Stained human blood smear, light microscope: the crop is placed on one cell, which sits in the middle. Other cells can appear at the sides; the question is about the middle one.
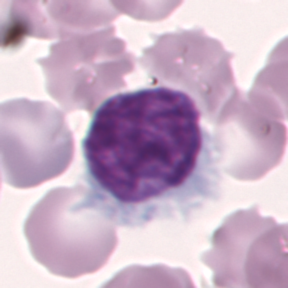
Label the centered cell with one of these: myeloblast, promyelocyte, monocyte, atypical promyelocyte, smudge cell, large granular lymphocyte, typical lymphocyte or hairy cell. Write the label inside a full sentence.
The crop shows a hairy cell in its centre.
